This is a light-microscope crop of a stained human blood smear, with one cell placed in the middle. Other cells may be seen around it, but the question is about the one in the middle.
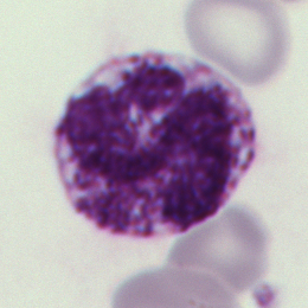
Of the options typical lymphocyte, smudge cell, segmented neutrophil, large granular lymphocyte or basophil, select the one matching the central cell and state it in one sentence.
The cell in the middle of the field of view is a basophil.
